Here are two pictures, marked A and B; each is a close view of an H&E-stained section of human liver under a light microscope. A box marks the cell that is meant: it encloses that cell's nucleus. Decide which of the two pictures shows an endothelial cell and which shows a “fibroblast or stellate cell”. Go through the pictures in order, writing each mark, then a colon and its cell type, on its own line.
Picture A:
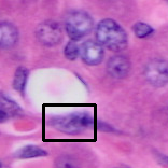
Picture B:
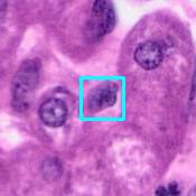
A: fibroblast or stellate cell
B: endothelial cell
